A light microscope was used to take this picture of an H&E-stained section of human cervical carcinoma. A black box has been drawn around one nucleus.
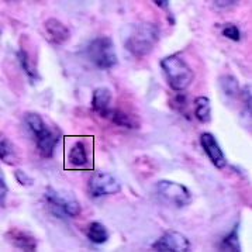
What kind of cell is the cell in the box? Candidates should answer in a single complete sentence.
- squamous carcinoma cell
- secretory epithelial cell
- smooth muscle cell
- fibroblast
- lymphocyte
Histopathologically, the cell in the box is a lymphocyte.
